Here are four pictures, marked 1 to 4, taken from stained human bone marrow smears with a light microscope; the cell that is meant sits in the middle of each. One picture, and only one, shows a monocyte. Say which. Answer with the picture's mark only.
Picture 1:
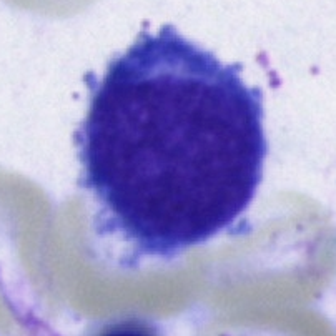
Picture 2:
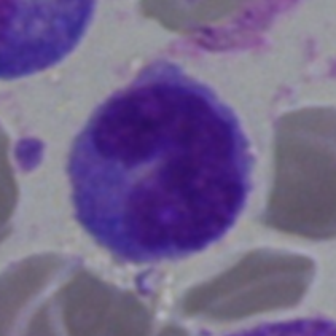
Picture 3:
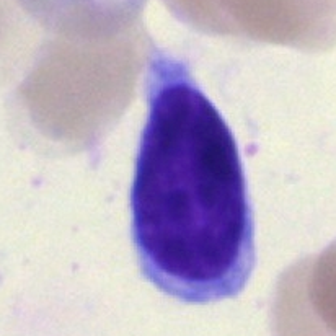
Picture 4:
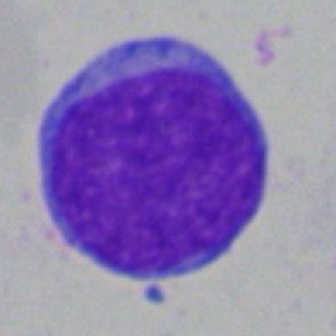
2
